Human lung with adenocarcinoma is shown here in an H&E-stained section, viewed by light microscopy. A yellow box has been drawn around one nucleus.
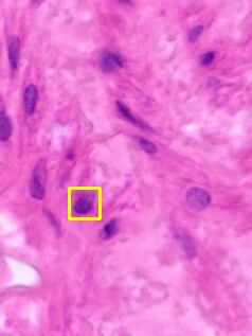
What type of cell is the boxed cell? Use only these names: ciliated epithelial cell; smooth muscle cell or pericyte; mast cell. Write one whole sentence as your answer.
Assigned to a cell type, the boxed cell is a smooth muscle cell or pericyte.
